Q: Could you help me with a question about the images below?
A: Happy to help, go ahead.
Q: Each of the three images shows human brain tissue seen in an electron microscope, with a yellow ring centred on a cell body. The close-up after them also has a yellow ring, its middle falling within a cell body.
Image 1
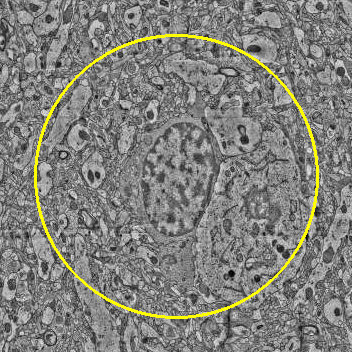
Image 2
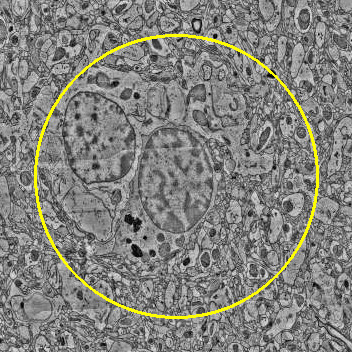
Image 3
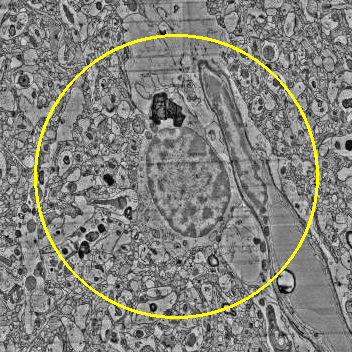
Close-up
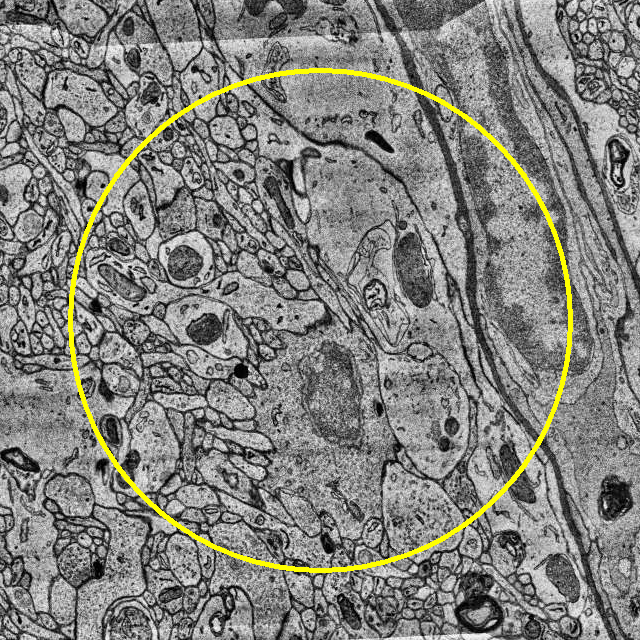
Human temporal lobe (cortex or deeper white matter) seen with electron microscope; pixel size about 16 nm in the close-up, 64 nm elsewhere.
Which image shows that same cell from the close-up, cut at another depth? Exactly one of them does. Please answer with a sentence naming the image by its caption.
The close-up shows a cell, and that cell is ringed in Image 3.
